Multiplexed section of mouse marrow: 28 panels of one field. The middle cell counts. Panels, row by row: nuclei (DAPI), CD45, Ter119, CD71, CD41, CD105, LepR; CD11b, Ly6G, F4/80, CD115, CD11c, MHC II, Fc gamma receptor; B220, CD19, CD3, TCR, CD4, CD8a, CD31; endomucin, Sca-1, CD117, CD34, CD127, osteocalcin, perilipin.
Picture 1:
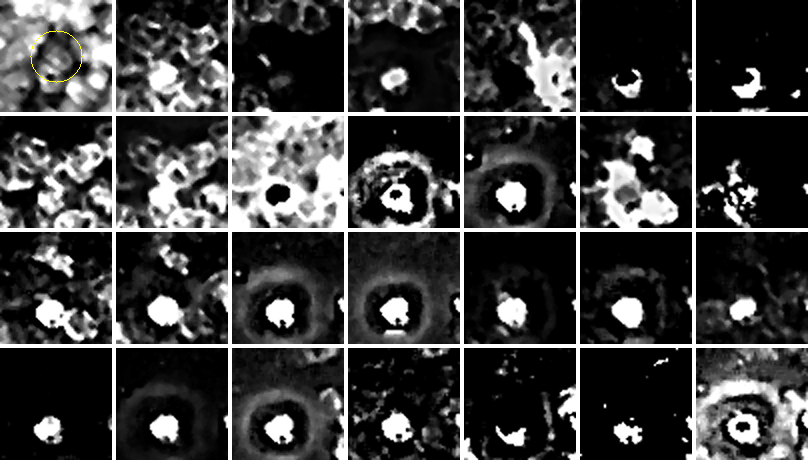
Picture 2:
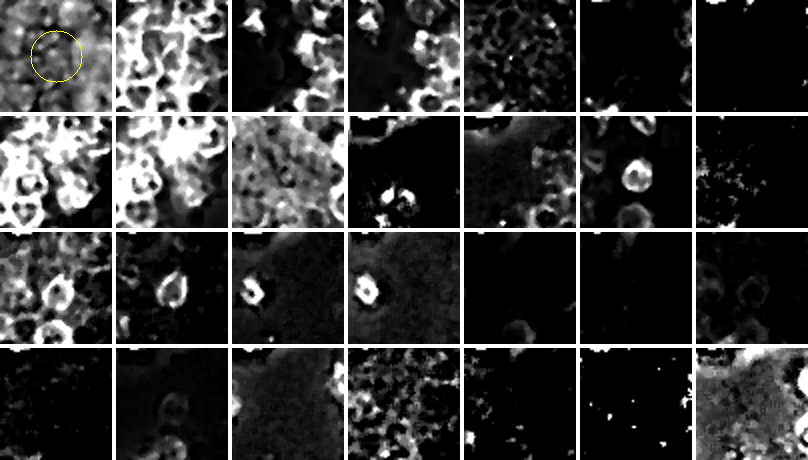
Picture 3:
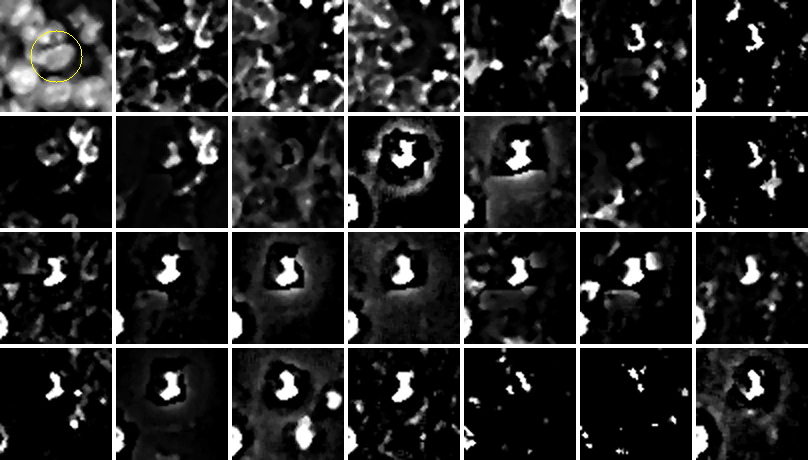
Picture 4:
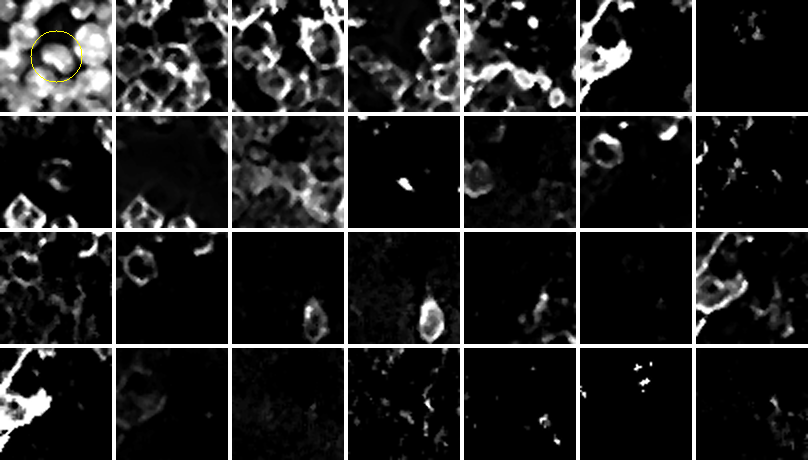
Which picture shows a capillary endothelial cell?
Picture 4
